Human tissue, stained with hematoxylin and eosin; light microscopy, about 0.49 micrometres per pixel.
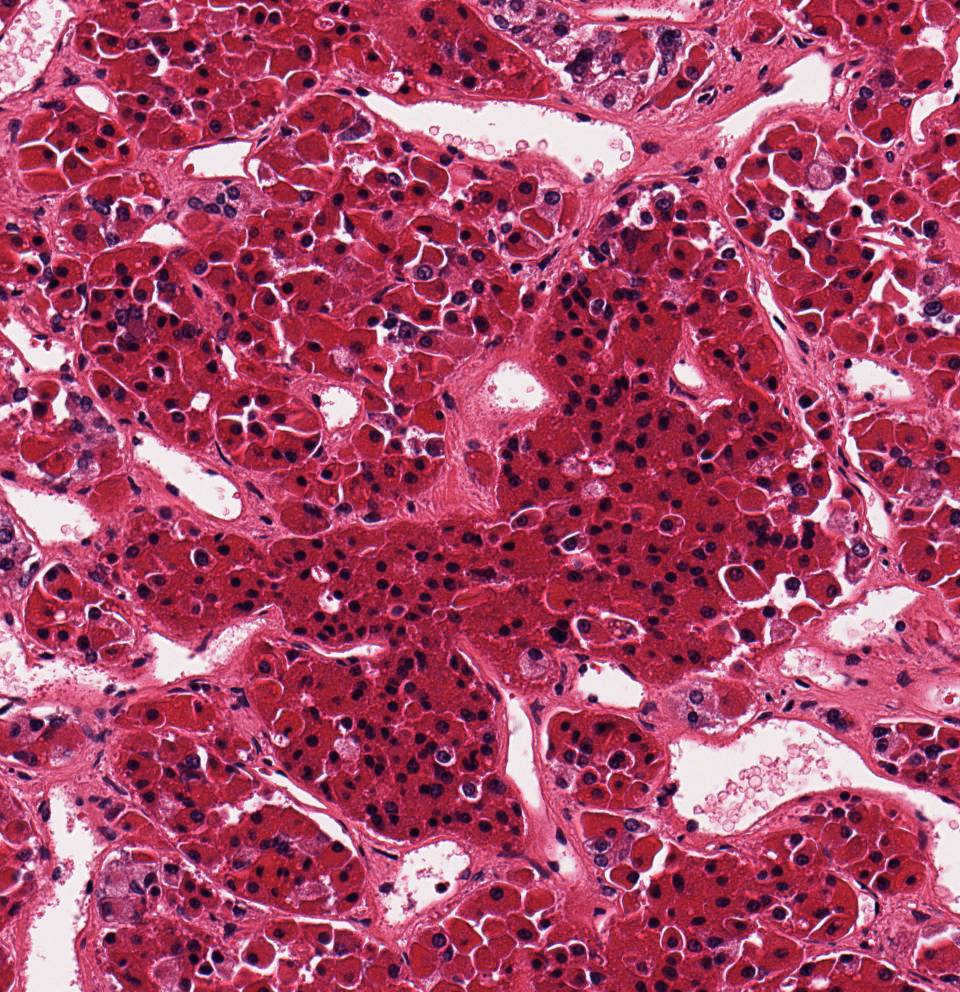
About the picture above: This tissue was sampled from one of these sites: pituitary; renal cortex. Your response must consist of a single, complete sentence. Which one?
Tissue of the pituitary was sampled to make this section.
